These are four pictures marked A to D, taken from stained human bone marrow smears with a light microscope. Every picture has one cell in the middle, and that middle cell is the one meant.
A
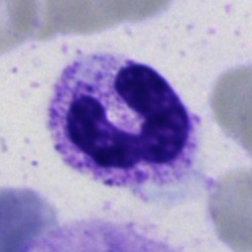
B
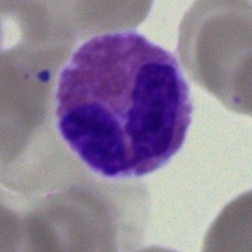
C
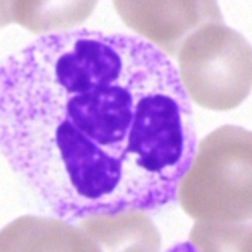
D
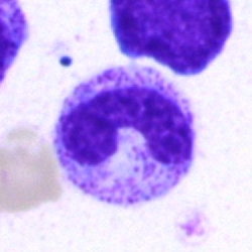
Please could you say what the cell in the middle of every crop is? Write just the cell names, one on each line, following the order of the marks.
band neutrophil
eosinophil
segmented neutrophil
band neutrophil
